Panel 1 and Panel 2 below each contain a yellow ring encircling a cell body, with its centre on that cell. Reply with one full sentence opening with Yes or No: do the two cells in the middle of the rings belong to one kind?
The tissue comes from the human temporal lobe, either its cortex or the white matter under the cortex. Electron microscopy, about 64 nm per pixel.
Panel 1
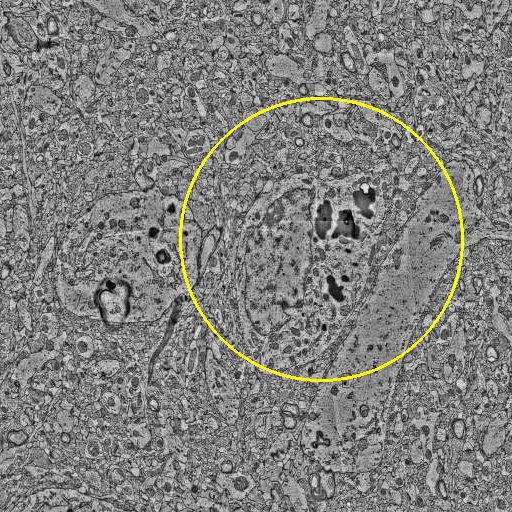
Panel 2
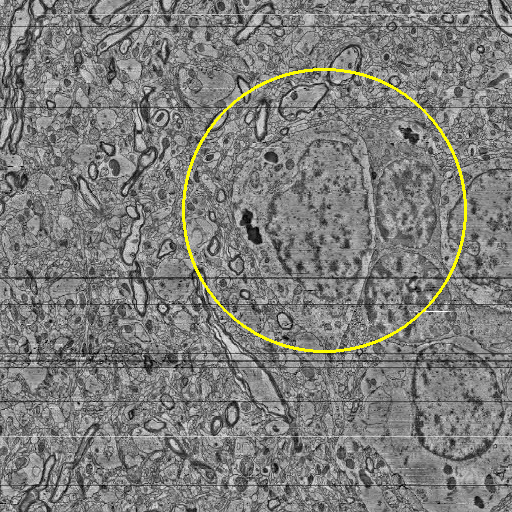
Yes, the cells at the middle of the Panel 1 ring and the Panel 2 ring are of one kind.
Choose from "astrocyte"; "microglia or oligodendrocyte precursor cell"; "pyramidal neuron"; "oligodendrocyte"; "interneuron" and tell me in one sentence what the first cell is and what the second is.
The first and the second cell are each an interneuron.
